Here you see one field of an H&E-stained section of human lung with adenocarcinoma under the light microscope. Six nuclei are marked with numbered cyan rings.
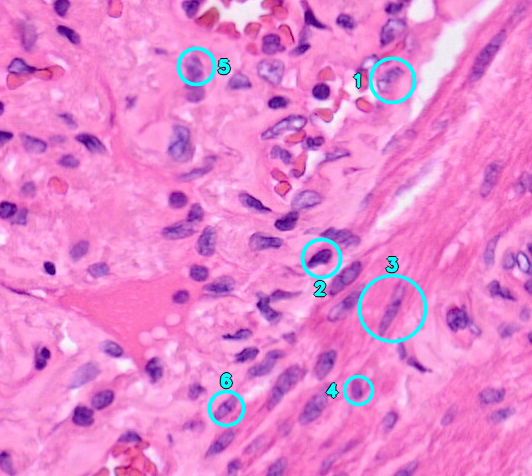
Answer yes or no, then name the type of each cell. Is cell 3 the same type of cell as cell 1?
No, cell 3 is a smooth muscle cell or pericyte and cell 1 is an endothelial cell.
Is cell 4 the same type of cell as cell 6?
Yes, both are smooth muscle cells or pericytes.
